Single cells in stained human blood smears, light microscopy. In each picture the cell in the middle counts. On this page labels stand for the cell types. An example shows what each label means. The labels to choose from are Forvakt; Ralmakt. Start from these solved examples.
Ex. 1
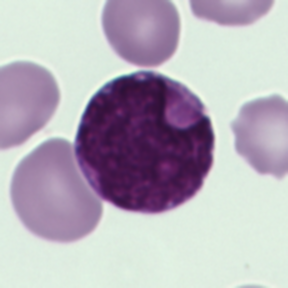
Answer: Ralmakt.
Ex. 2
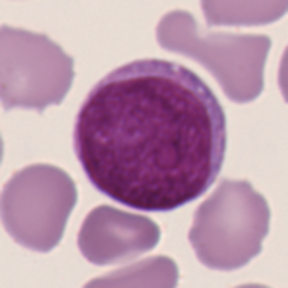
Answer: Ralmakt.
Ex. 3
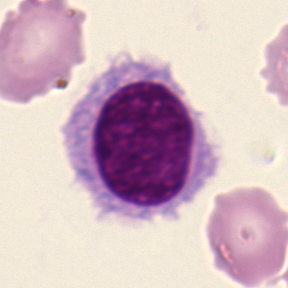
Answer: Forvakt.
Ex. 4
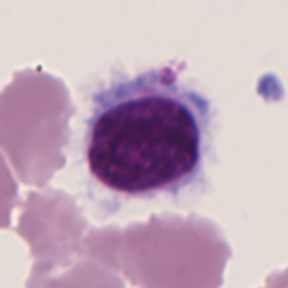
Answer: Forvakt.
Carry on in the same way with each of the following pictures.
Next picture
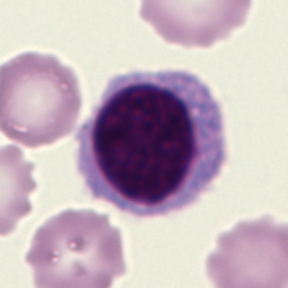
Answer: Forvakt.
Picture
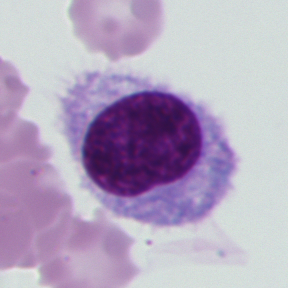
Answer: Forvakt.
